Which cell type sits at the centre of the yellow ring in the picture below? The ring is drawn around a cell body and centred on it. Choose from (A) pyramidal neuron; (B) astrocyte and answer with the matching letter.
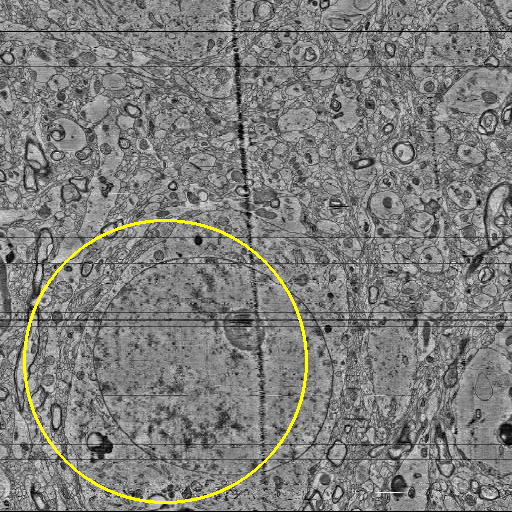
A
